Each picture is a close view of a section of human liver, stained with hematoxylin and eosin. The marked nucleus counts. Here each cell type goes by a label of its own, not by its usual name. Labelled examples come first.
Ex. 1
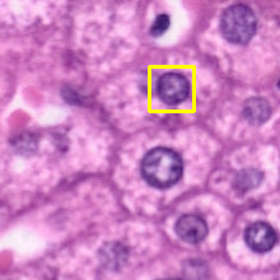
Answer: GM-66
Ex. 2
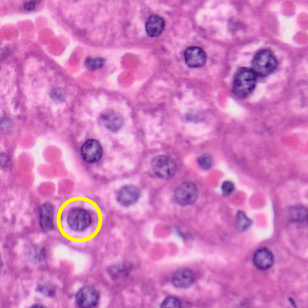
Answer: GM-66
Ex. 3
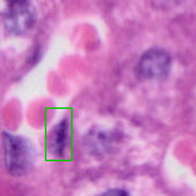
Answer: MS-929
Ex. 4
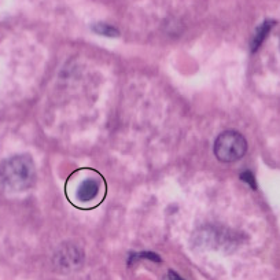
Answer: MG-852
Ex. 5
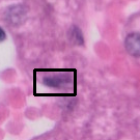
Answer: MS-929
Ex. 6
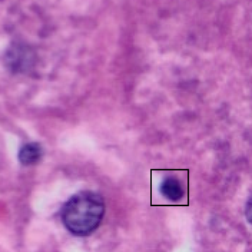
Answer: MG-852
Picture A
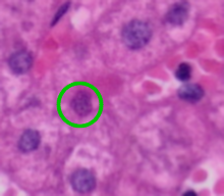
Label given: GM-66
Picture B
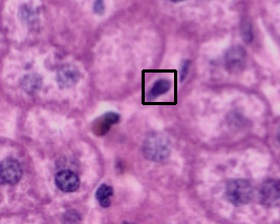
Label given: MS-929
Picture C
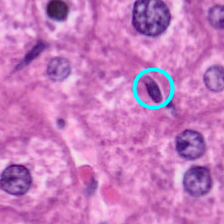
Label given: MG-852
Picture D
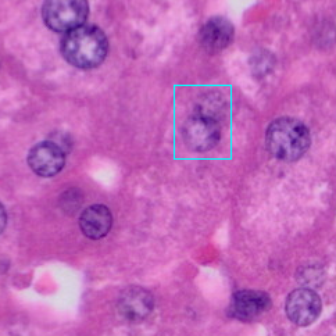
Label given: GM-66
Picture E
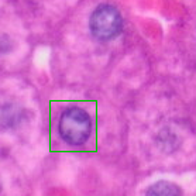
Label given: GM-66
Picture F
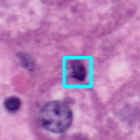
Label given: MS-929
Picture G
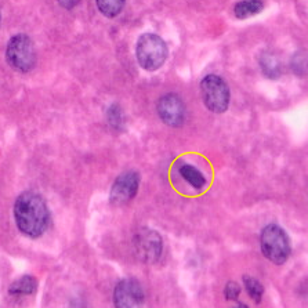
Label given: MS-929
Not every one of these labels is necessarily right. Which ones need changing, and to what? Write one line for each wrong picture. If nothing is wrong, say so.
B: change MS-929 to MG-852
